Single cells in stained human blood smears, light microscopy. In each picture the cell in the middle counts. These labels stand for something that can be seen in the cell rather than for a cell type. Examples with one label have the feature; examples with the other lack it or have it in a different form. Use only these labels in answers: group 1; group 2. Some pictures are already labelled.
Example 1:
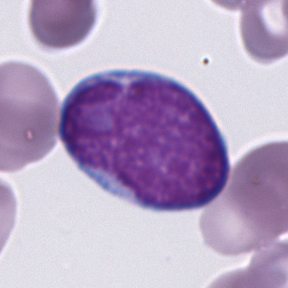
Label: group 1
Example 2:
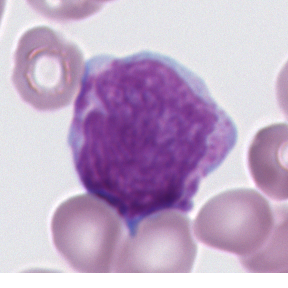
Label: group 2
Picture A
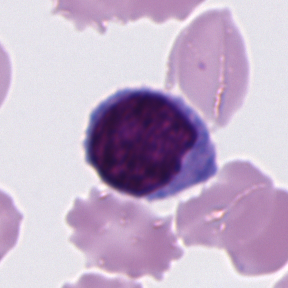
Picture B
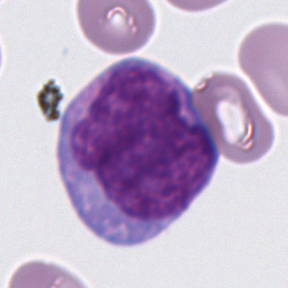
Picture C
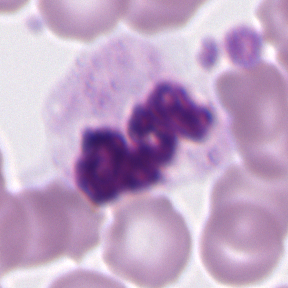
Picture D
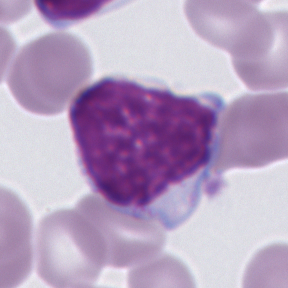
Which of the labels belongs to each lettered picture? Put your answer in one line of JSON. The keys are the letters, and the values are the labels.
{"A": "group 1", "B": "group 1", "C": "group 1", "D": "group 2"}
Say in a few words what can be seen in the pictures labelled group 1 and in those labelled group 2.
group 1: smooth outline; group 2: ragged outline or projections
